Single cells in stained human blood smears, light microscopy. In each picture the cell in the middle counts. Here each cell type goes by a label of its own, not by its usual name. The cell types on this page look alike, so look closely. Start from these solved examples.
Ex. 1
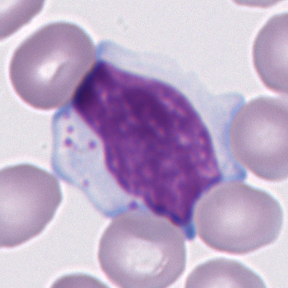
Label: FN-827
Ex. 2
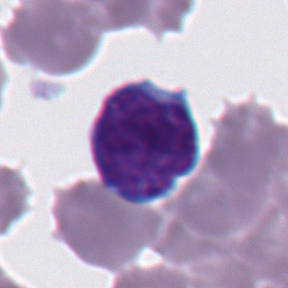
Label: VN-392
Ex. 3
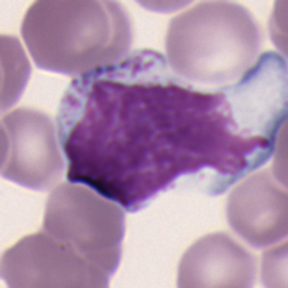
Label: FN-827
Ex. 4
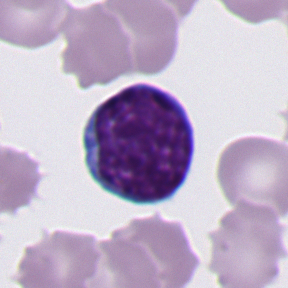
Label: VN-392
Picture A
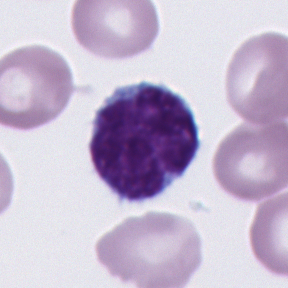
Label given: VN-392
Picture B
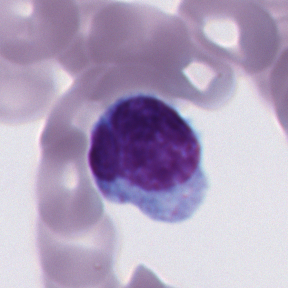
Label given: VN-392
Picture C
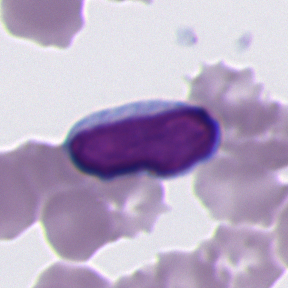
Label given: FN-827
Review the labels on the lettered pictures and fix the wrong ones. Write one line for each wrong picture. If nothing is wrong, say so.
C: not FN-827 but VN-392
